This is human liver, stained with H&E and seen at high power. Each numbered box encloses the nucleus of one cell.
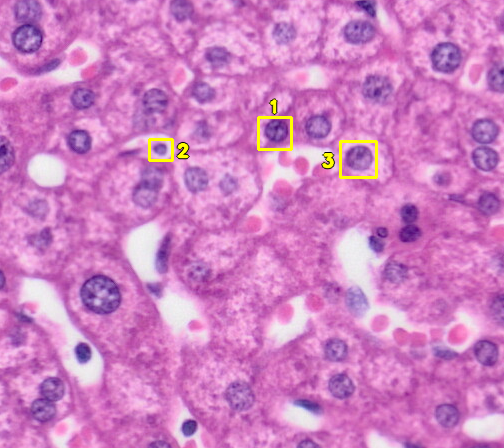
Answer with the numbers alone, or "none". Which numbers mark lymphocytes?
2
